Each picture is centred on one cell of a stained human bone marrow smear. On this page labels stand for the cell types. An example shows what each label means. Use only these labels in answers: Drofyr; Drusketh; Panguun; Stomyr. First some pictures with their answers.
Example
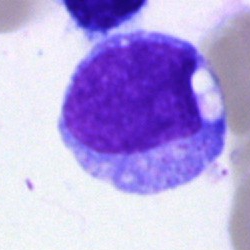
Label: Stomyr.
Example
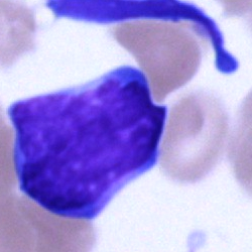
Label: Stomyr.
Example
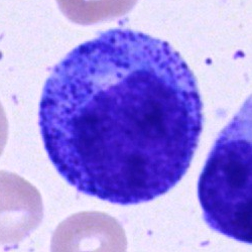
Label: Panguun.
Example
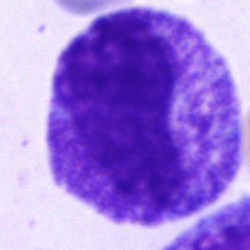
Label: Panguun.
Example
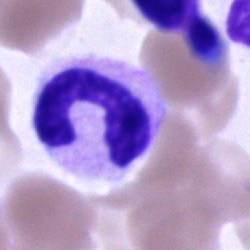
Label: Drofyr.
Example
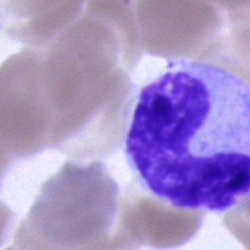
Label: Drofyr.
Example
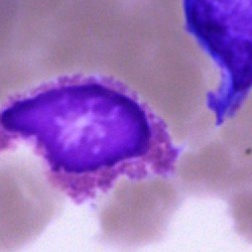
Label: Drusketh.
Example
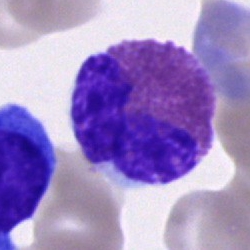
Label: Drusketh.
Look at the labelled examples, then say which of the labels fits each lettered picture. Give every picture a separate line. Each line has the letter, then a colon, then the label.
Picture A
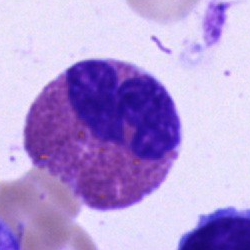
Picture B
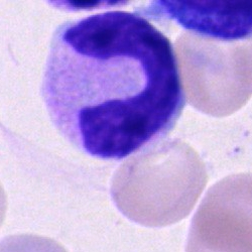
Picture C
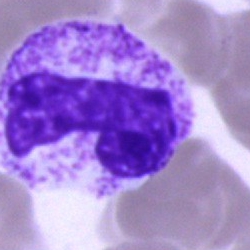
A: Drusketh.
B: Drofyr.
C: Drofyr.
